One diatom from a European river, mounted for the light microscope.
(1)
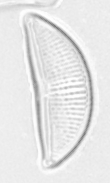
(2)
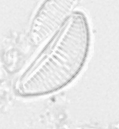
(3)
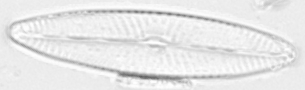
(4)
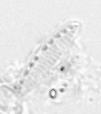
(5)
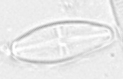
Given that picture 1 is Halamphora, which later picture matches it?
2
